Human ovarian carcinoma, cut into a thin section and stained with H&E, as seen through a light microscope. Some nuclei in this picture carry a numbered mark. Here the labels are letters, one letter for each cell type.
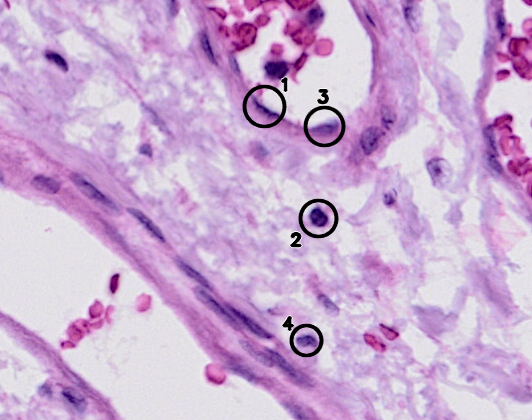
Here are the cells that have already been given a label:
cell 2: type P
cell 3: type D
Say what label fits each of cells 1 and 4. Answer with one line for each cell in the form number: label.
1: type D
4: type P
